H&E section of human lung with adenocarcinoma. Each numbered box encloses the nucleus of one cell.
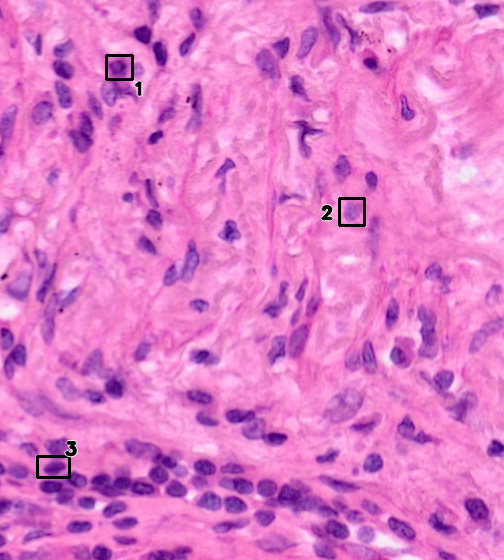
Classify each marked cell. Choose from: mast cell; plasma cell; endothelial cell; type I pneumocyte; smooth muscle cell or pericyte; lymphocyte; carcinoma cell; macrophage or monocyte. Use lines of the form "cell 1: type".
cell 1: plasma cell
cell 2: smooth muscle cell or pericyte
cell 3: lymphocyte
